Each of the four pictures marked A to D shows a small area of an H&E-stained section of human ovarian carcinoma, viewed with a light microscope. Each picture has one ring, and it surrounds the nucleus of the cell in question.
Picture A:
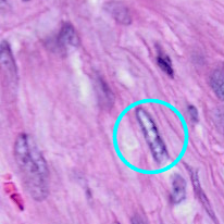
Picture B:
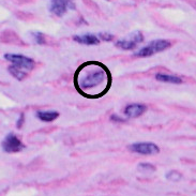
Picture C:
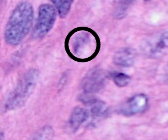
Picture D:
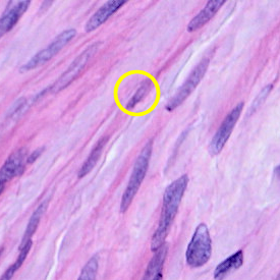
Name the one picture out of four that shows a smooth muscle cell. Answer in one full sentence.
The smooth muscle cell is the one in picture D.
